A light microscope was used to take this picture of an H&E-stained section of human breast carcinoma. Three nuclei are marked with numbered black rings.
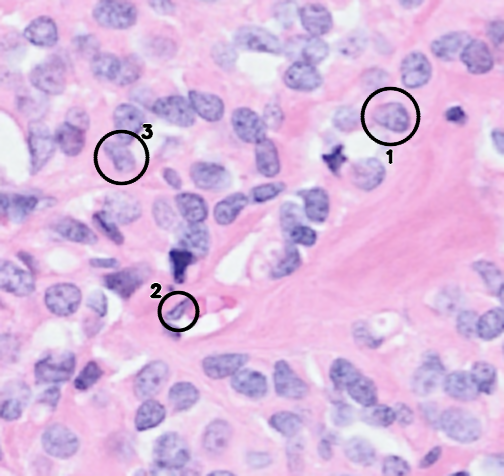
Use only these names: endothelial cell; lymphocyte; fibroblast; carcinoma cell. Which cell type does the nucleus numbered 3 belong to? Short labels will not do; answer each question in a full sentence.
Identified by the number 3, the cell is a carcinoma cell.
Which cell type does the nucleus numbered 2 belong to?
The cell identified by number 2 is an endothelial cell.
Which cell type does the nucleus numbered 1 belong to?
The mark numbered 1 indicates the nucleus of a carcinoma cell.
